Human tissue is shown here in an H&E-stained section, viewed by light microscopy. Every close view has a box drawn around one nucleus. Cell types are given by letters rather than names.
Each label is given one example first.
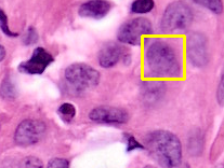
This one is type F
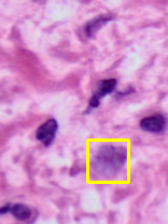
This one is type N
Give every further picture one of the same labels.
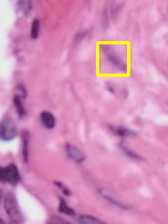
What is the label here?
type N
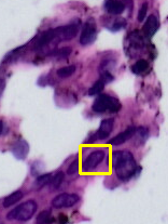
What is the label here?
type F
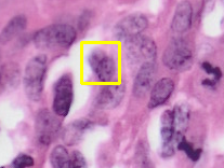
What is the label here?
type F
